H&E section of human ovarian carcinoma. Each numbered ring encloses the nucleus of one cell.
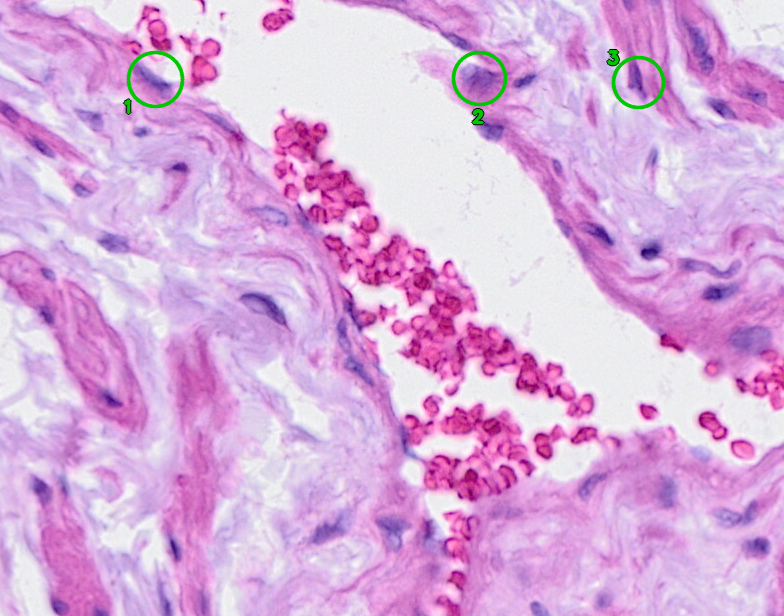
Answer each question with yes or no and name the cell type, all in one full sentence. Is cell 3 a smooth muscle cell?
Yes, correct, the cell with the number 3 is a smooth muscle cell.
